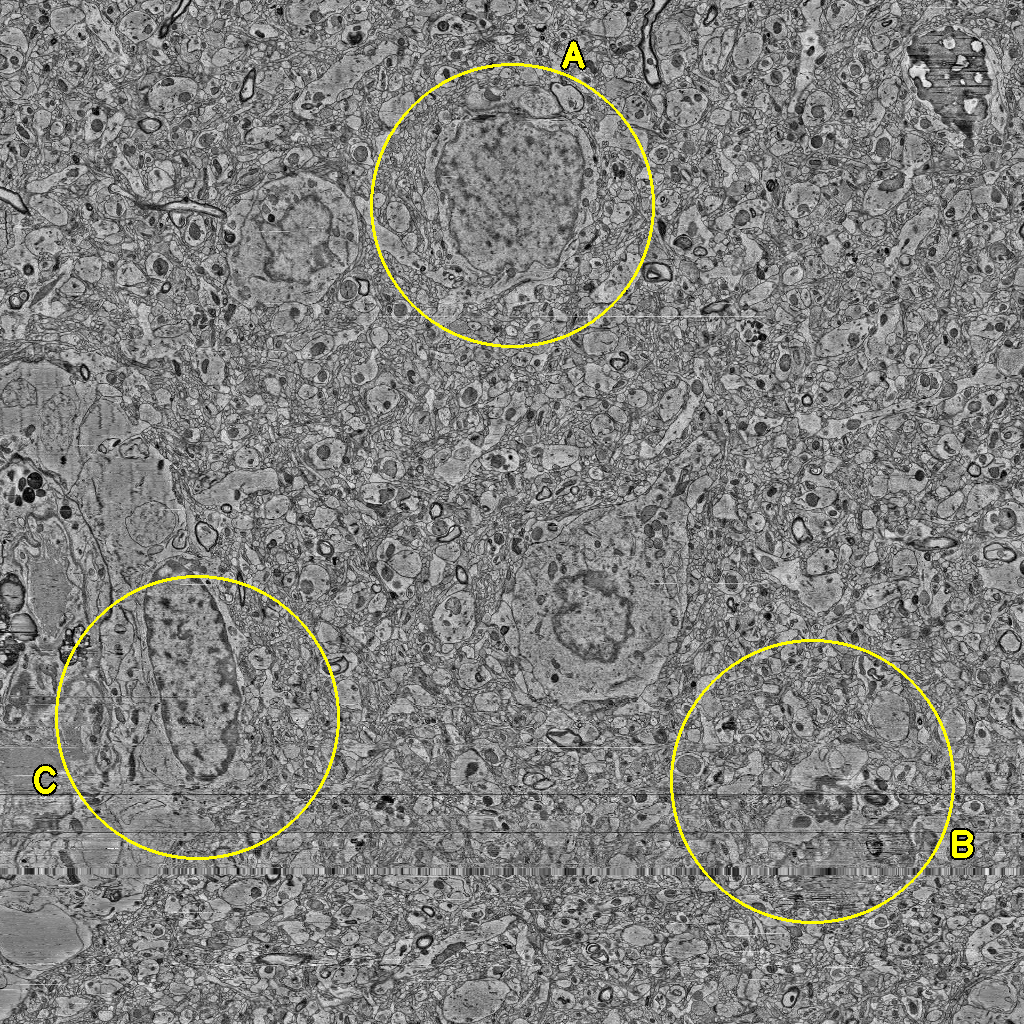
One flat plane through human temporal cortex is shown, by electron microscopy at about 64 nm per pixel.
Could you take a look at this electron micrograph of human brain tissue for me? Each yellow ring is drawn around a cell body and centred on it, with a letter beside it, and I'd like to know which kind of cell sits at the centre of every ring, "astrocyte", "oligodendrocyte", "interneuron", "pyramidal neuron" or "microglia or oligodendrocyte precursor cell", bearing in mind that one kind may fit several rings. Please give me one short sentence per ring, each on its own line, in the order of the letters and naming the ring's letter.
Ring A is centred on an interneuron.
Ring B is centred on a microglial cell or oligodendrocyte precursor cell.
Ring C is centred on a microglial cell or oligodendrocyte precursor cell.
